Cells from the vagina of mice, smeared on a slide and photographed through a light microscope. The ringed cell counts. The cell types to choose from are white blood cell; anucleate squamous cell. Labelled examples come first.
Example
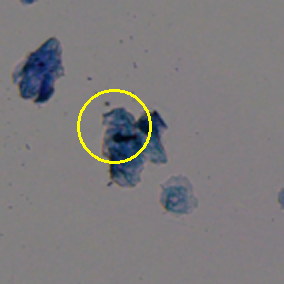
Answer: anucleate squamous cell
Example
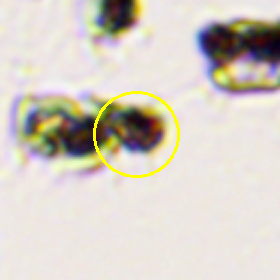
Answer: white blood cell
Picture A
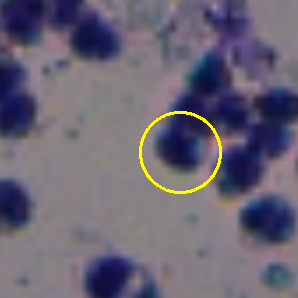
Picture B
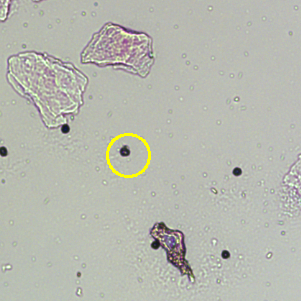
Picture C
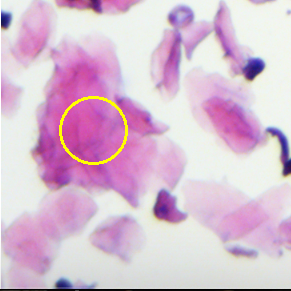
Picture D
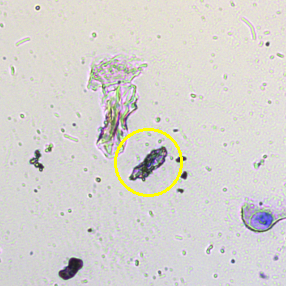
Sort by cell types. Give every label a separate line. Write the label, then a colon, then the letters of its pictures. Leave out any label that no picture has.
white blood cell: A, B
anucleate squamous cell: C, D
